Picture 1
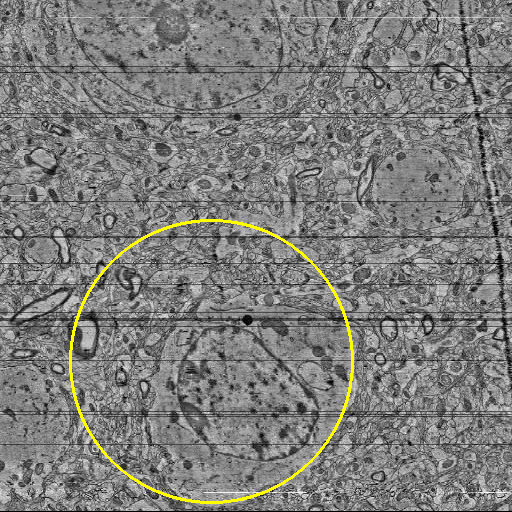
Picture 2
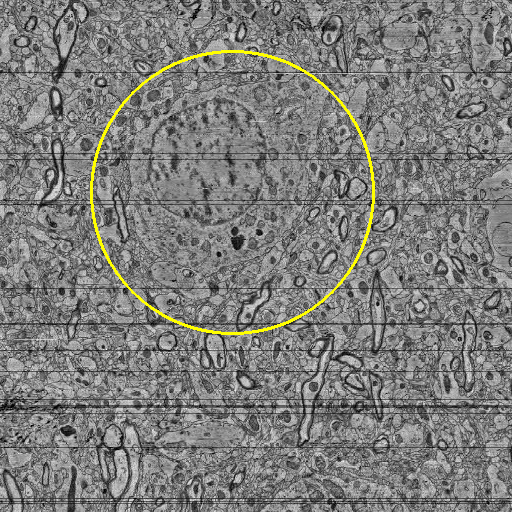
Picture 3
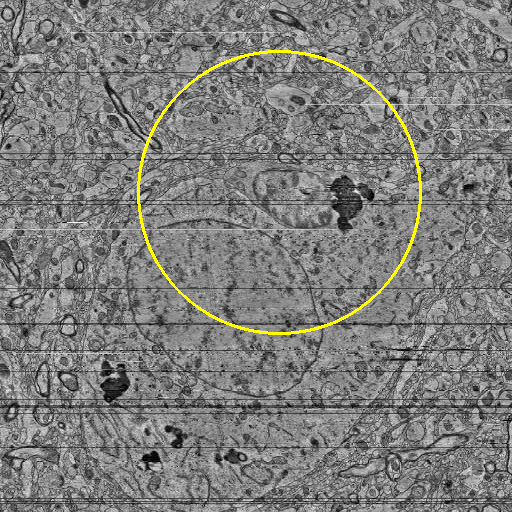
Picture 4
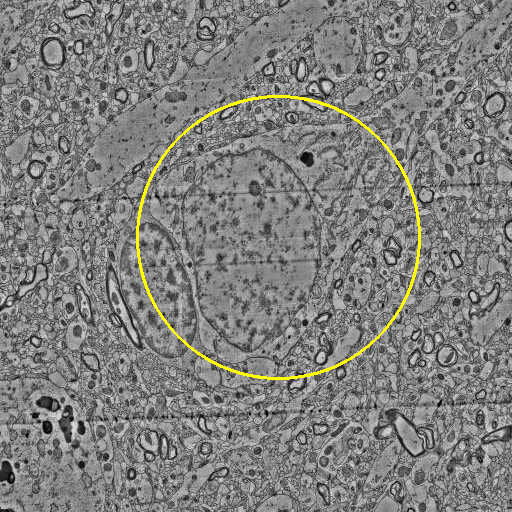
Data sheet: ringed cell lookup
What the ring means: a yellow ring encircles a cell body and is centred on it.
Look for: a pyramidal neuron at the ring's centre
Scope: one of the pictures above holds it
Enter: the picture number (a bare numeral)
4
